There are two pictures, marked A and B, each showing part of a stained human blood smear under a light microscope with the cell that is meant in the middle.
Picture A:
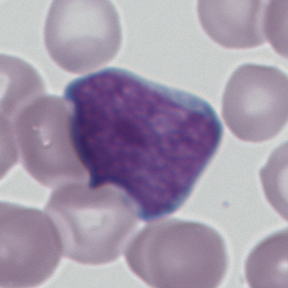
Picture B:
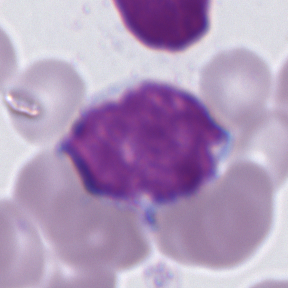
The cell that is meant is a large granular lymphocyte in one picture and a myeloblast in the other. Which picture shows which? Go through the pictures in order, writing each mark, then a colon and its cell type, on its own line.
A: myeloblast
B: large granular lymphocyte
